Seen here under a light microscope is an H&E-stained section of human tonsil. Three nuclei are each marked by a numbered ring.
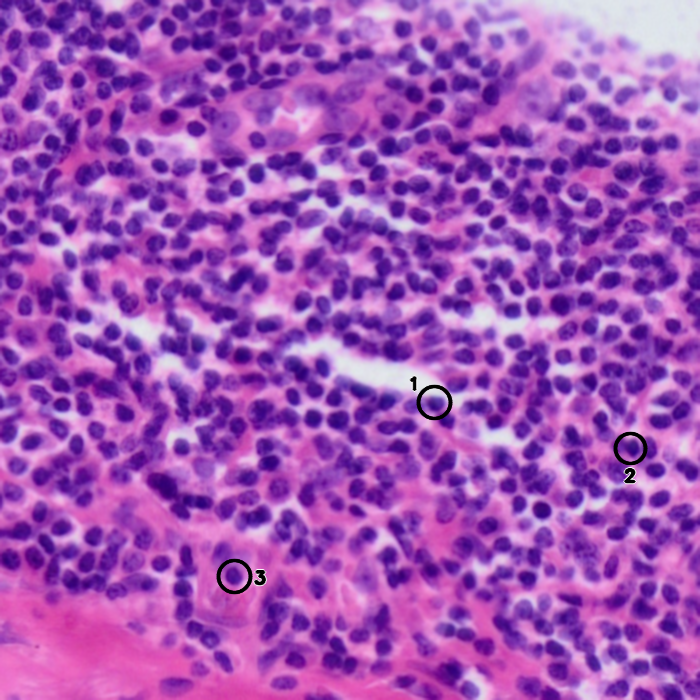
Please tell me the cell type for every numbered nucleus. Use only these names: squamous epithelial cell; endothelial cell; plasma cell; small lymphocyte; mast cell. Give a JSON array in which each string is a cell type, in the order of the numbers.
["small lymphocyte", "small lymphocyte", "endothelial cell"]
